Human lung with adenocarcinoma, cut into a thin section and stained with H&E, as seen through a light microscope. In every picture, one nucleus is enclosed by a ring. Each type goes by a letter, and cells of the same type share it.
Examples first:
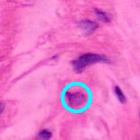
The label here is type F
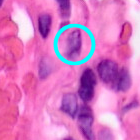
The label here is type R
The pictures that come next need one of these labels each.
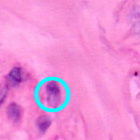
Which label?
type F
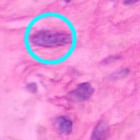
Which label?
type F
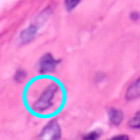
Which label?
type R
